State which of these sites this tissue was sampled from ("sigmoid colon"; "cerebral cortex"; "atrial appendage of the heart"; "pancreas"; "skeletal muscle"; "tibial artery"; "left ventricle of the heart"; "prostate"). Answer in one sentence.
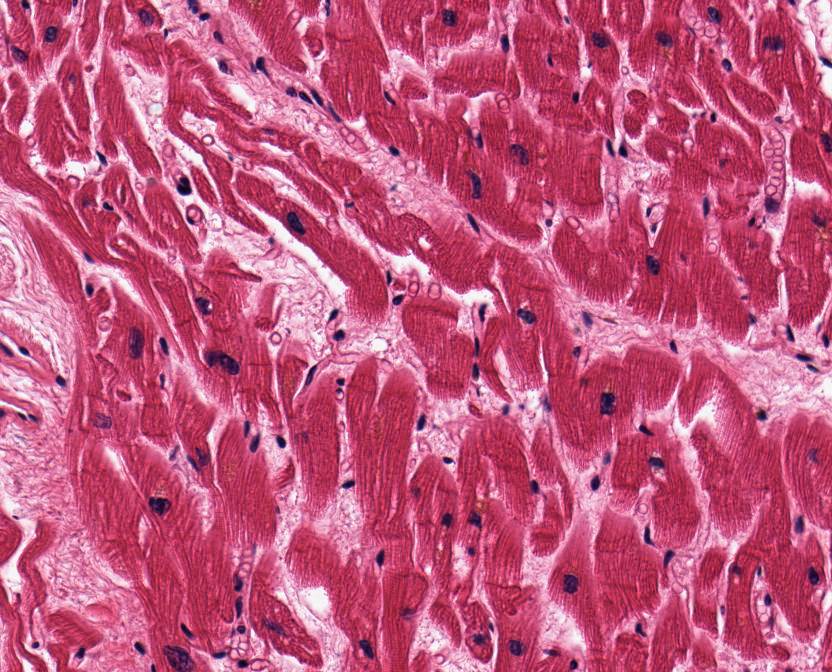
The site this tissue was sampled from is the left ventricle of the heart.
